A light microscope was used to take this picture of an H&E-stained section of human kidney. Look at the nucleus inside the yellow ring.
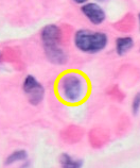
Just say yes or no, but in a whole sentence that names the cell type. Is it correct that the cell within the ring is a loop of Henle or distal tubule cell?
No, the cell within the ring represents an endothelial cell and does not represent a loop of Henle or distal tubule cell.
